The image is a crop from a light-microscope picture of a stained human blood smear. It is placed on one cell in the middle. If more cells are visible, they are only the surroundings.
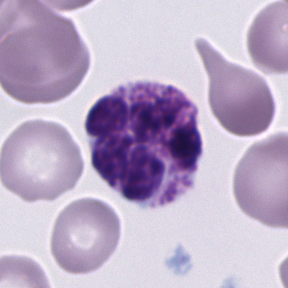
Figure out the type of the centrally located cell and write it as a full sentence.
The crop's centre is taken up by a basophil.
